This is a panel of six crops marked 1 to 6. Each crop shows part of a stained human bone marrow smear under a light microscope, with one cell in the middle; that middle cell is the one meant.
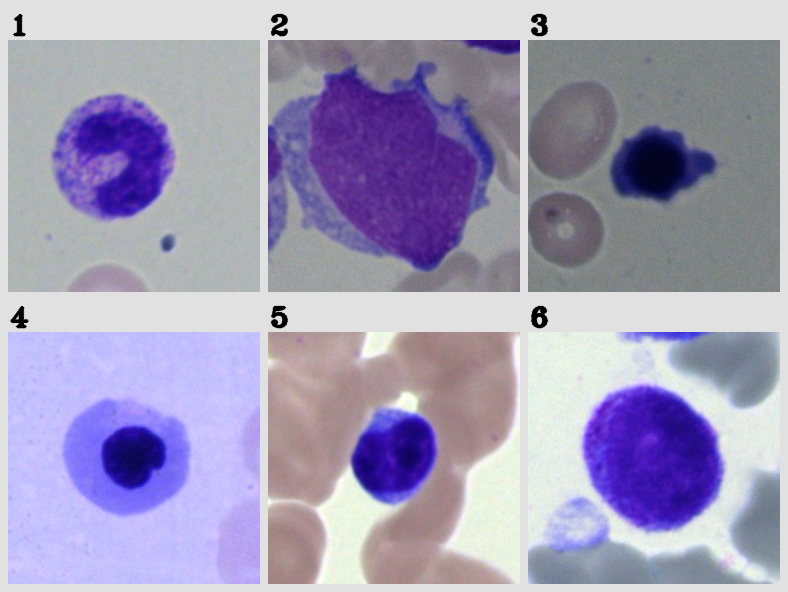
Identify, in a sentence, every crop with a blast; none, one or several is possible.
The only crop with a blast at its center is crop 2.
